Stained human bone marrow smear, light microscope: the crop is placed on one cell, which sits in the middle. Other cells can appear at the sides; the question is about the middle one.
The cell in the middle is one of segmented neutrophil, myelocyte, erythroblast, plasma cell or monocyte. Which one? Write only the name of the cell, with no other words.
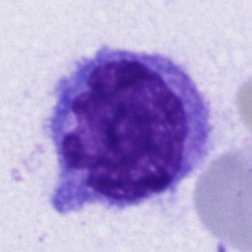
monocyte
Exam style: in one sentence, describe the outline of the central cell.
Irregular rather than smooth, the cell margin shows ragged areas or projections.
